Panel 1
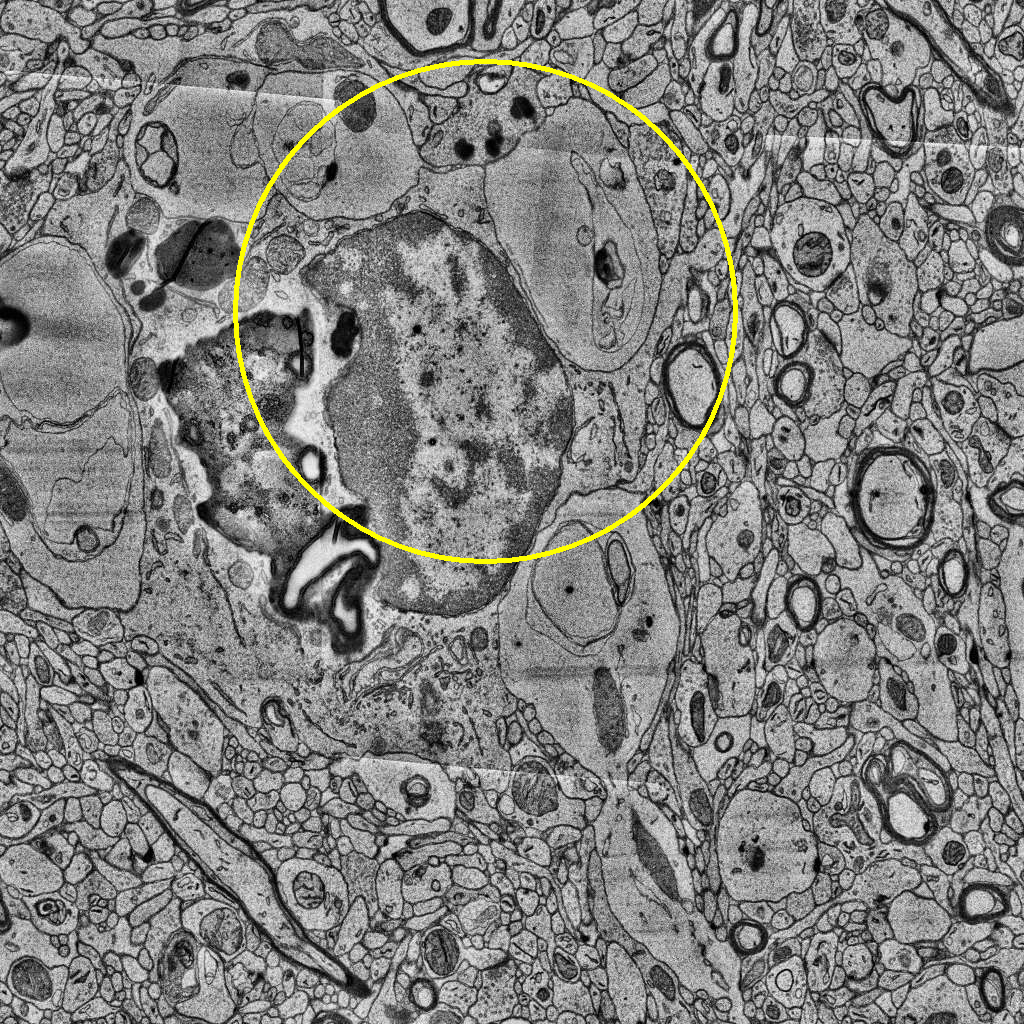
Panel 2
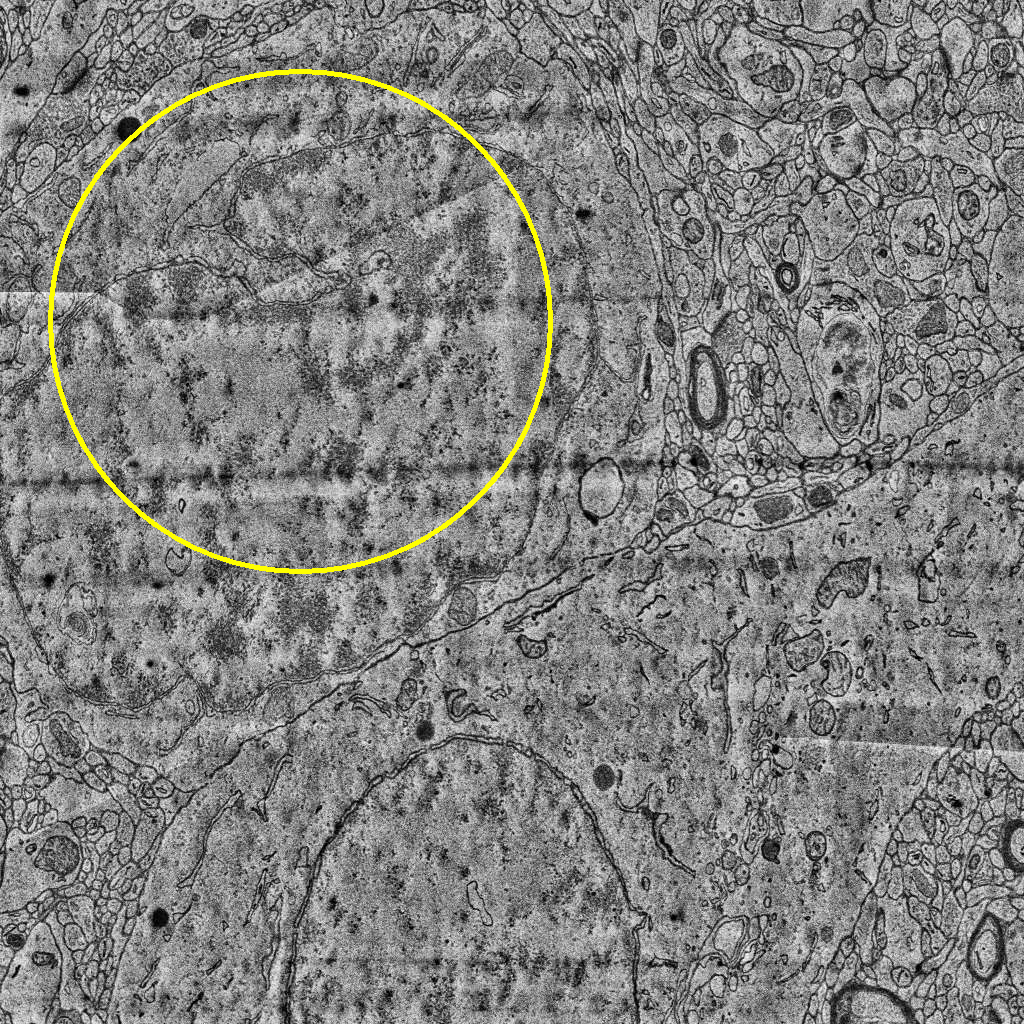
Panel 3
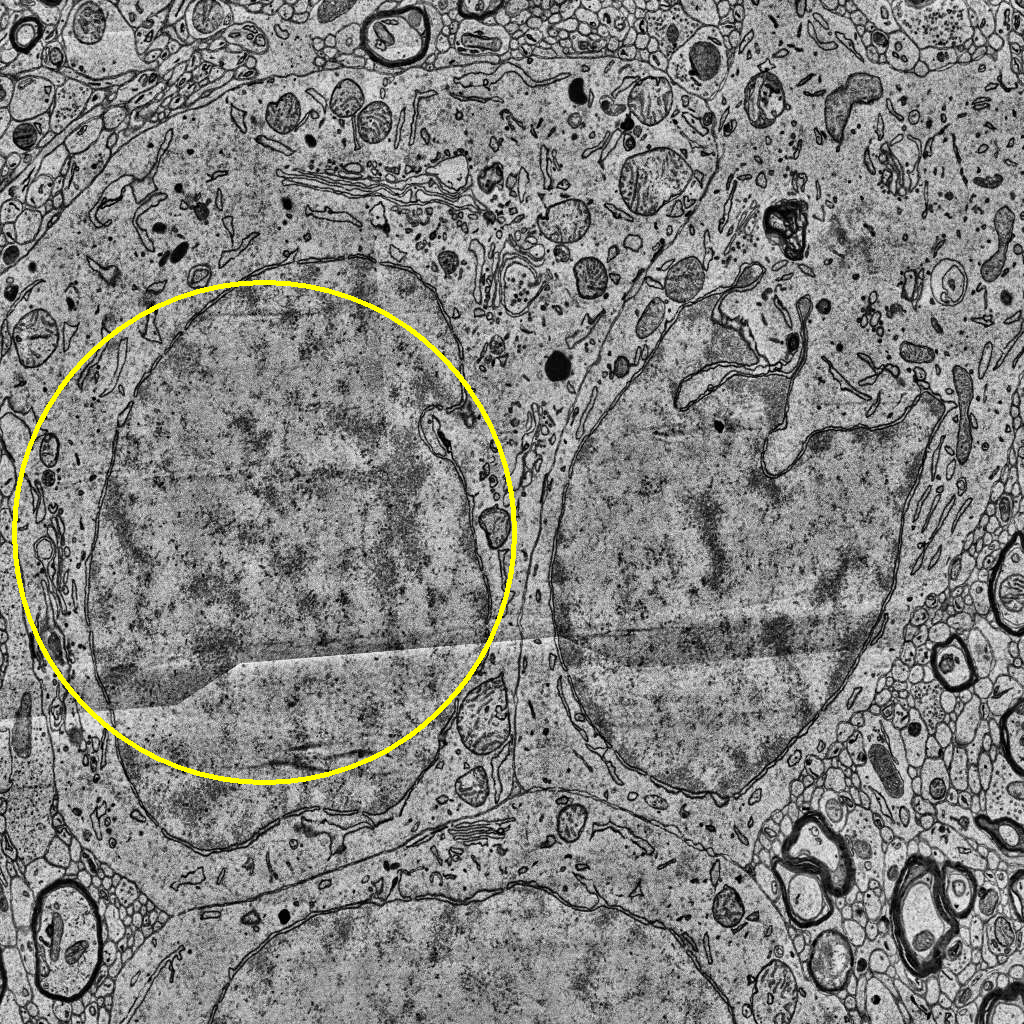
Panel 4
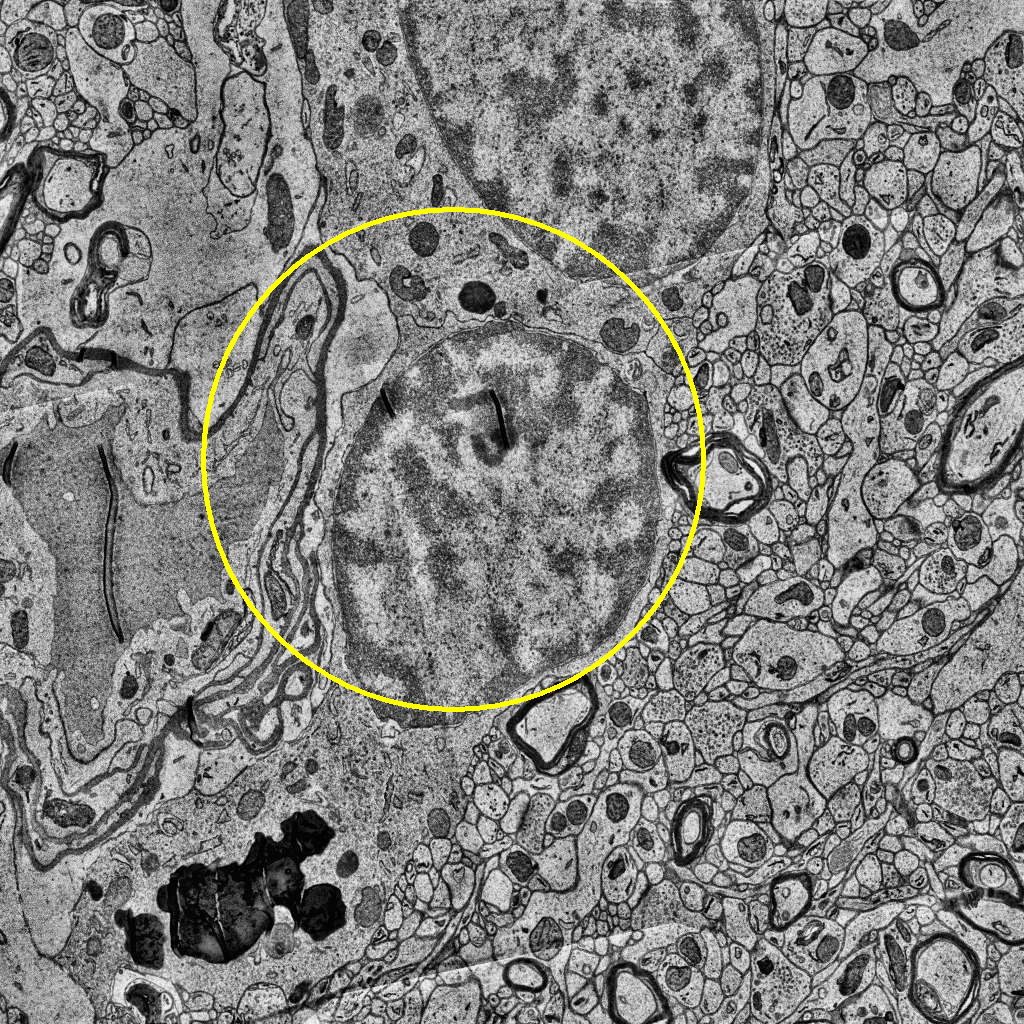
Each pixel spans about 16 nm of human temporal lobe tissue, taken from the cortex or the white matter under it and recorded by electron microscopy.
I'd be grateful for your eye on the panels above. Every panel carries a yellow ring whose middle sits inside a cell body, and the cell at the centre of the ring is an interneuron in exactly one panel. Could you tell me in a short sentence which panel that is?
Panel 2 is the one with it at the centre of the ring.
